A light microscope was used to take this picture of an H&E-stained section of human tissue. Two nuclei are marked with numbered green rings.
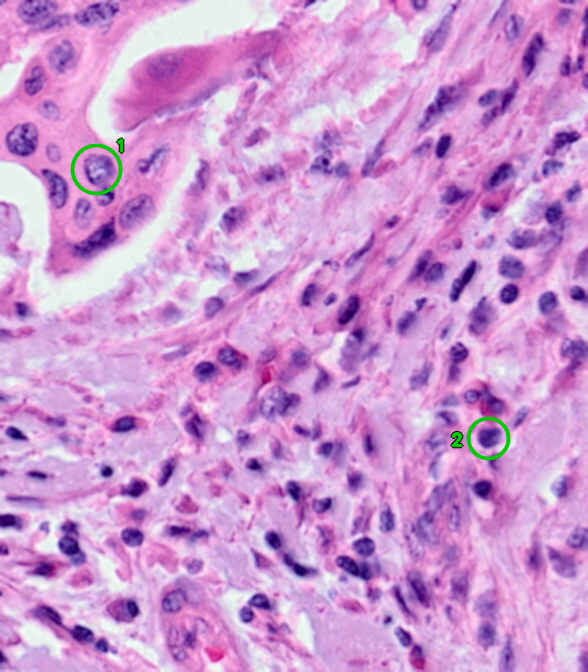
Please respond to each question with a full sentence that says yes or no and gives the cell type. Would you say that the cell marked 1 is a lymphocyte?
No, in terms of cell type, cell 1 is a squamous carcinoma cell, not a lymphocyte.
